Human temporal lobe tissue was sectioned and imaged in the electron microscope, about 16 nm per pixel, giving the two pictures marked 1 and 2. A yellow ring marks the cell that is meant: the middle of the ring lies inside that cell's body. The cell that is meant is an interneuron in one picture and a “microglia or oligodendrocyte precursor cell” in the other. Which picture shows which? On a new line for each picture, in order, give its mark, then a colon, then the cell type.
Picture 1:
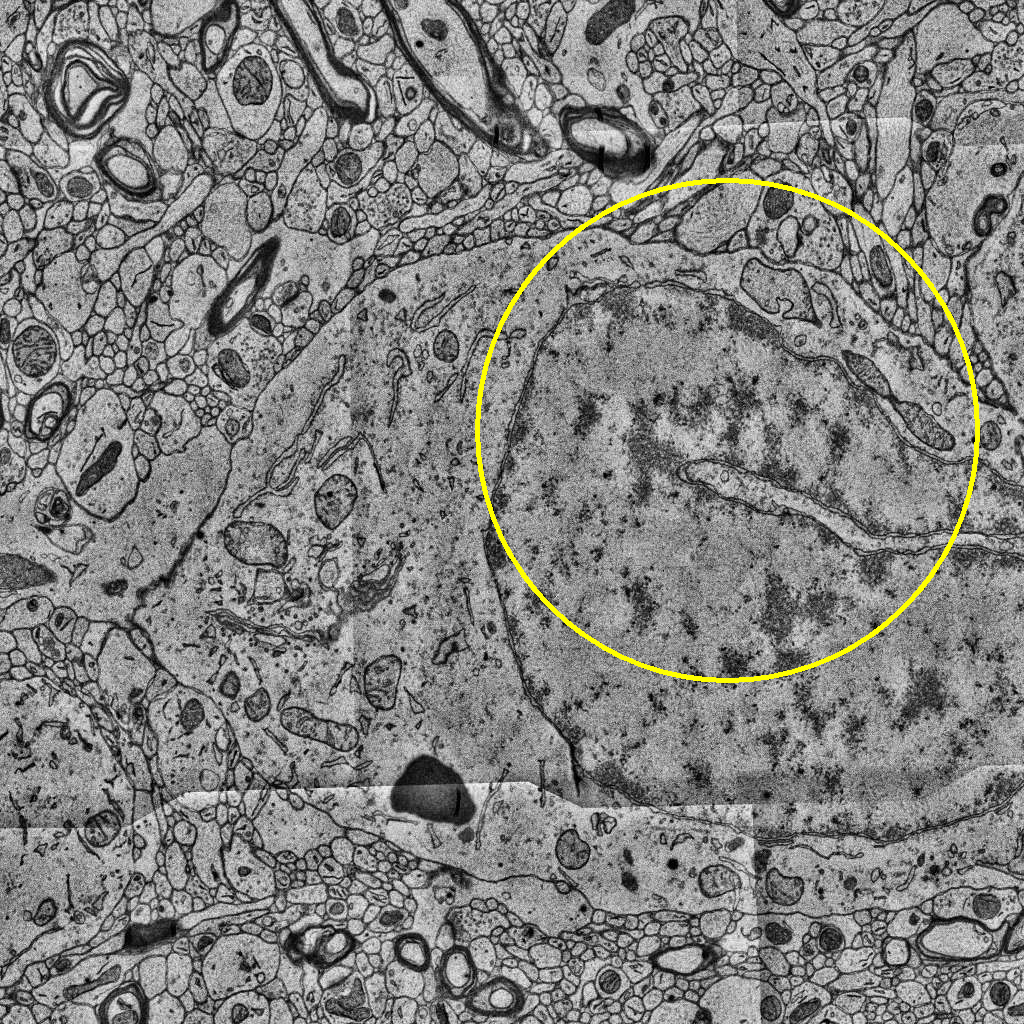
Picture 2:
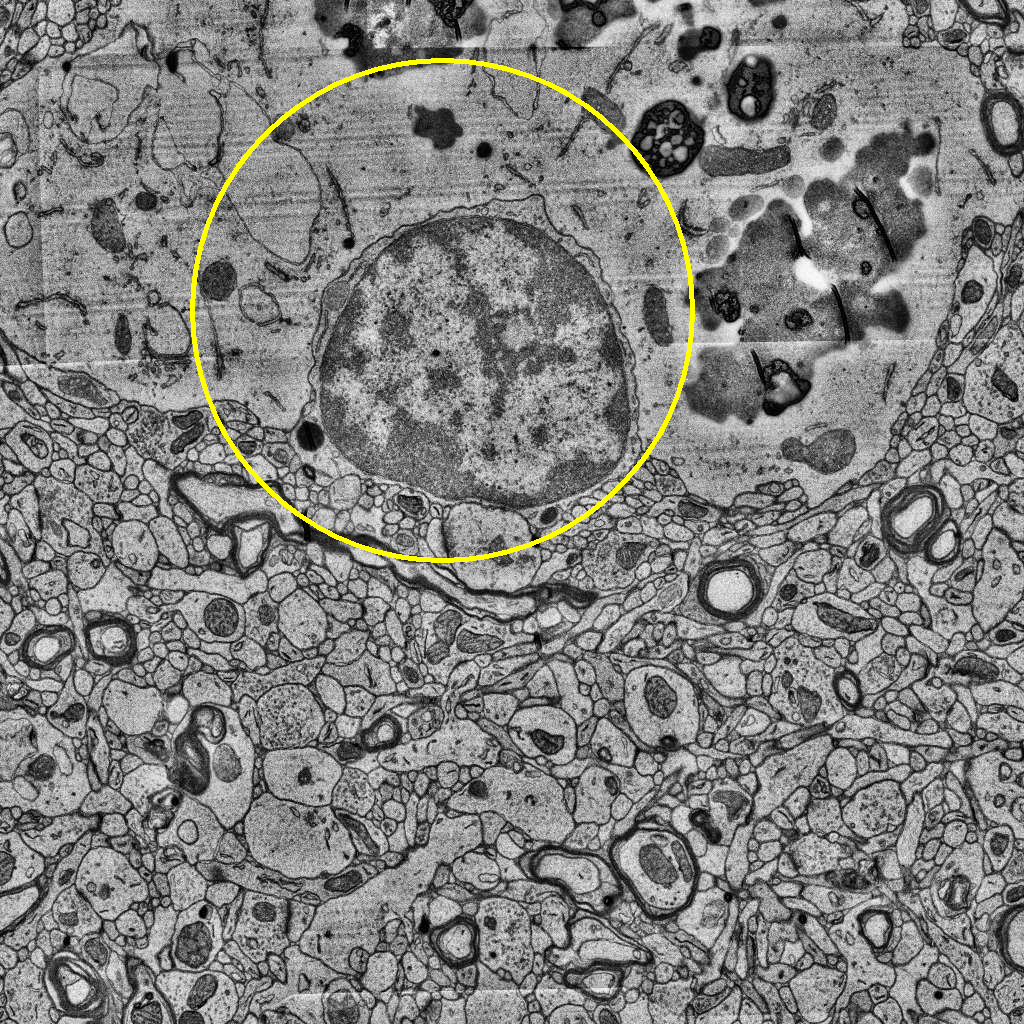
1: interneuron
2: microglia or oligodendrocyte precursor cell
